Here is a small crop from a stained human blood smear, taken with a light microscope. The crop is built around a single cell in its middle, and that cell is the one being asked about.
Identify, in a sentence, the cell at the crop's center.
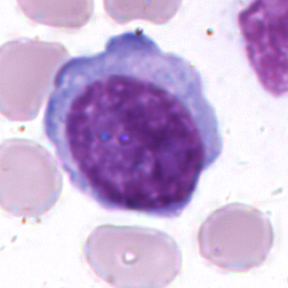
The centrally placed cell is classified as a plasma cell.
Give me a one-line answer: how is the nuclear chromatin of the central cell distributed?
There is no coarse clumping; the chromatin stays fine throughout.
